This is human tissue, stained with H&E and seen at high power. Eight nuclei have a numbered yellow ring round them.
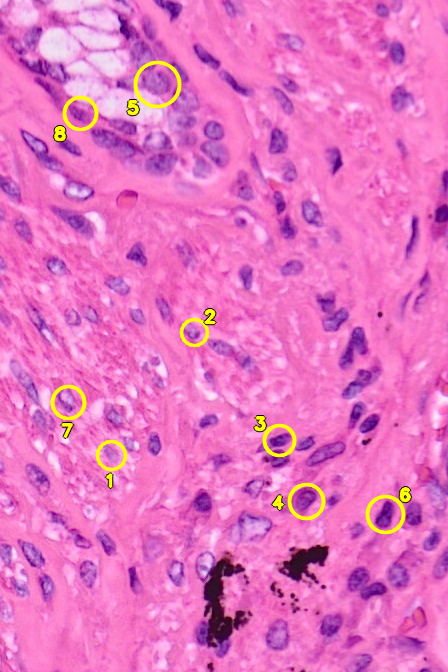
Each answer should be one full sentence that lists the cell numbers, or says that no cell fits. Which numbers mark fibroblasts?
Answering directly: no fibroblasts are among the numbered cells.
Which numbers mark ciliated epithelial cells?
The cells marked by the numbers 5 and 8 are ciliated epithelial cells.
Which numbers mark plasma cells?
The cells marked by the numbers 4 and 6 are plasma cells.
